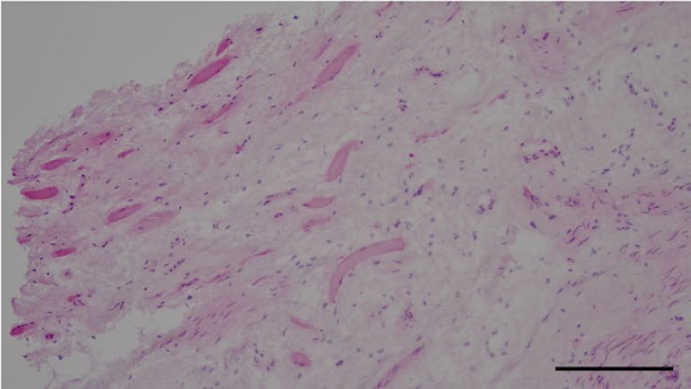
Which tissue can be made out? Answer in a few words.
Stromal tissue.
